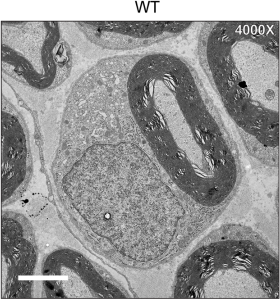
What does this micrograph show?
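Peripheral nerve in cross section showing a Schwann cell whose large oval nucleus, with finely granular chromatin, fills the center of the field. Directly beside the nucleus lies an elongated myelinated axon wrapped in a thick, dark, compact myelin sheath around pale axoplasm. Further myelinated axons with dark myelin rings lie at the edges of the field, separated by pale endoneurial space.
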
